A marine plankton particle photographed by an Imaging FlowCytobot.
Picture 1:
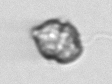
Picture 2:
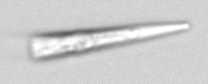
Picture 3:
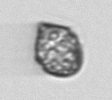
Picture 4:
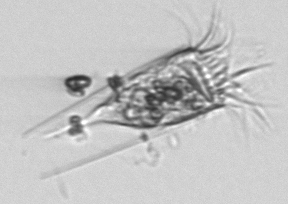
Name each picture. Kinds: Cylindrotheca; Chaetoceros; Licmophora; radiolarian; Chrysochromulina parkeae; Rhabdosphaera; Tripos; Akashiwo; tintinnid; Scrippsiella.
1. Scrippsiella
2. Licmophora
3. Scrippsiella
4. tintinnid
